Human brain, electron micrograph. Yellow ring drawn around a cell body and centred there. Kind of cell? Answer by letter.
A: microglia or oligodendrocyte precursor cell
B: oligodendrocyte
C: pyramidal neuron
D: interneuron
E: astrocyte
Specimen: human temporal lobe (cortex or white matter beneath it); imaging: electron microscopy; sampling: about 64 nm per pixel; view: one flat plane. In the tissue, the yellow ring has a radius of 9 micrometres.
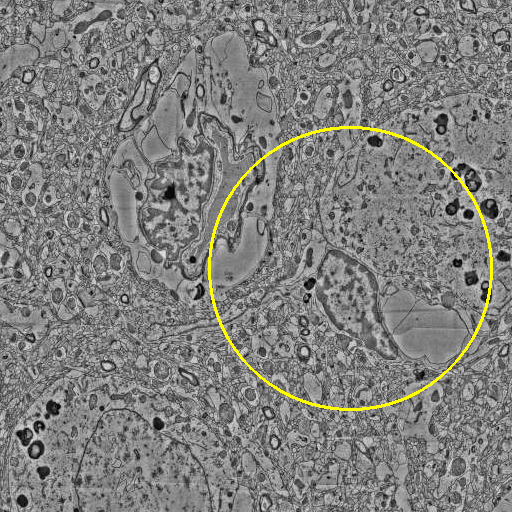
A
